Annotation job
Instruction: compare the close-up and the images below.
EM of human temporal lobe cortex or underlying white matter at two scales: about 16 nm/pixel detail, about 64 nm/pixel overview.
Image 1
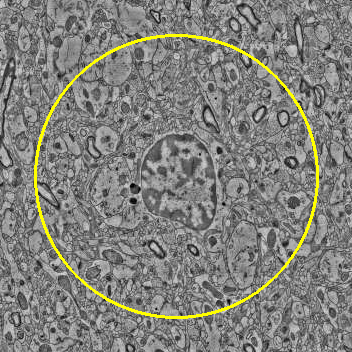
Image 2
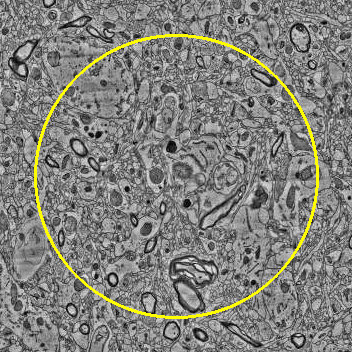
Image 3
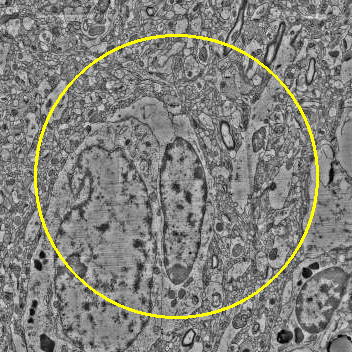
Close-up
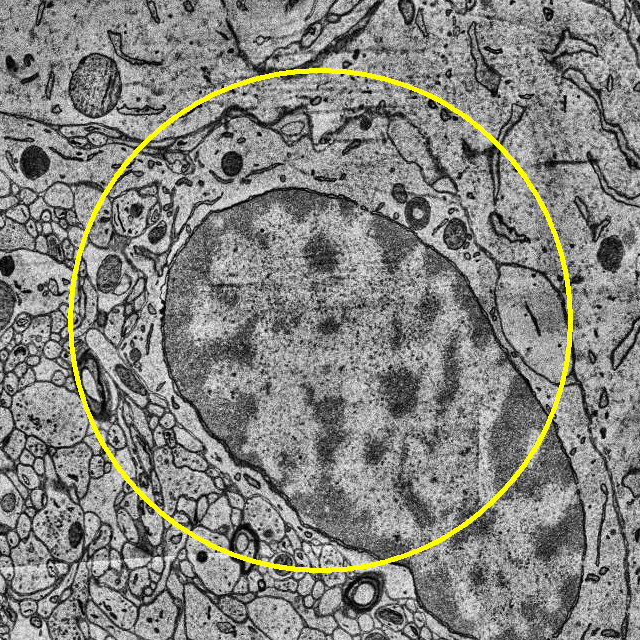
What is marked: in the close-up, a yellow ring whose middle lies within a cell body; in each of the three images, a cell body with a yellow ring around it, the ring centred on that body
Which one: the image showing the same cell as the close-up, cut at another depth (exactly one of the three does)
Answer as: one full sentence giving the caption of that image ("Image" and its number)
The enlargement corresponds to the cell circled in Image 2.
